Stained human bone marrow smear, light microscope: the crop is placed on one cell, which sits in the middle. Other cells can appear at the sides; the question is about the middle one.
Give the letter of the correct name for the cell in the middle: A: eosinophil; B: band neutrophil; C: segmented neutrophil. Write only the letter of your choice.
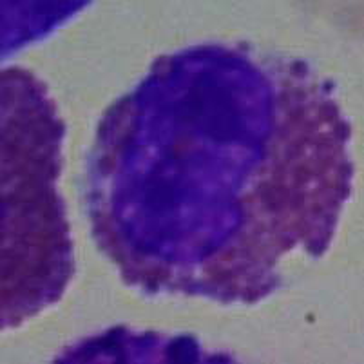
A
